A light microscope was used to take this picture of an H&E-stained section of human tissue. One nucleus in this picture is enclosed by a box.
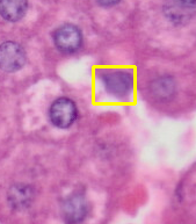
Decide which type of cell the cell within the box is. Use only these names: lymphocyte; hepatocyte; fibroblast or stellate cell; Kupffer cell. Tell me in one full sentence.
Cytologically, the cell within the box is to be regarded as a Kupffer cell.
